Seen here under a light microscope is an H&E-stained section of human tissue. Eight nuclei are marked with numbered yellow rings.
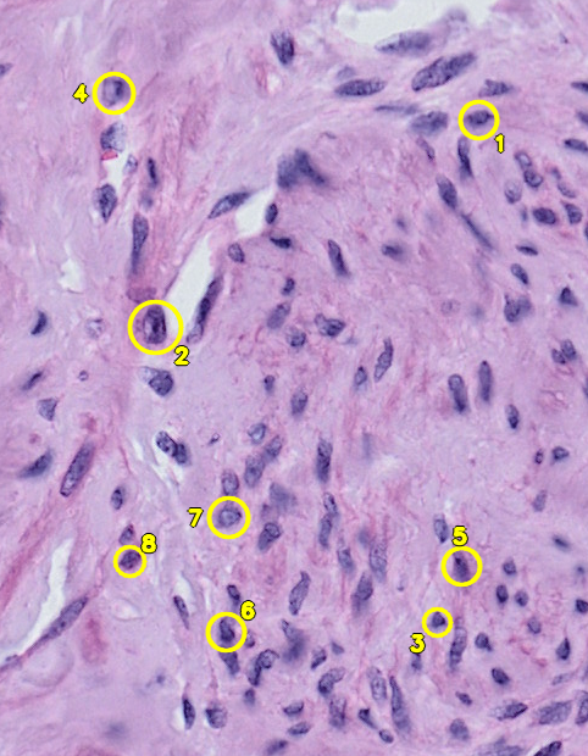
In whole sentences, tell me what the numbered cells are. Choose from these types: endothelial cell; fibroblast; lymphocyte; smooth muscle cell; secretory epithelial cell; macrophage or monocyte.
Cell 1 is a fibroblast, cell 2 is an endothelial cell, cell 3 is a smooth muscle cell, cell 4 is an endothelial cell, cell 5 is a smooth muscle cell, cell 6 is a fibroblast, cell 7 is a smooth muscle cell and cell 8 is a smooth muscle cell.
